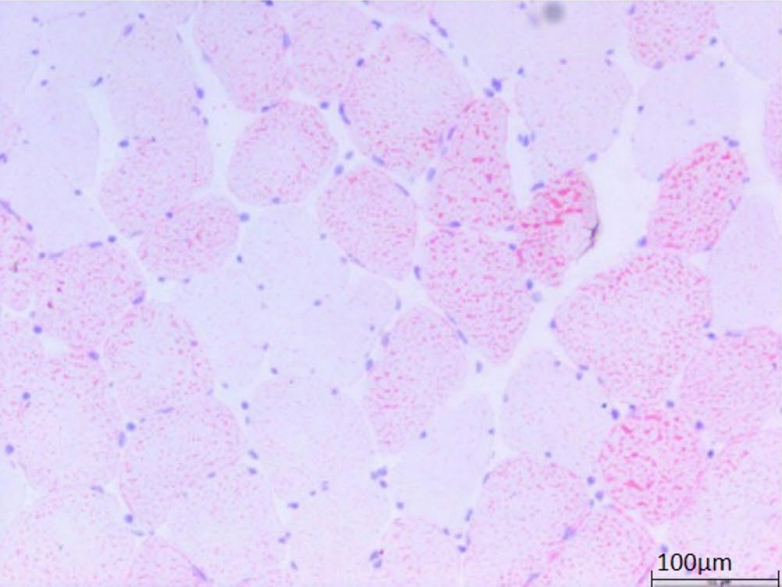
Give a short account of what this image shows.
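This is skeletal muscle cut in cross-section, showing closely packed polygonal muscle fibers separated by narrow spaces. Small, flattened, blue nuclei lie at the edges of the fibers. The cytoplasm of many fibers is filled with fine red granules spread diffusely across the whole fiber. The amount differs from fiber to fiber: some are densely packed with red granules, while others are pale and hold only a few. The fibers vary somewhat in size and shape.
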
